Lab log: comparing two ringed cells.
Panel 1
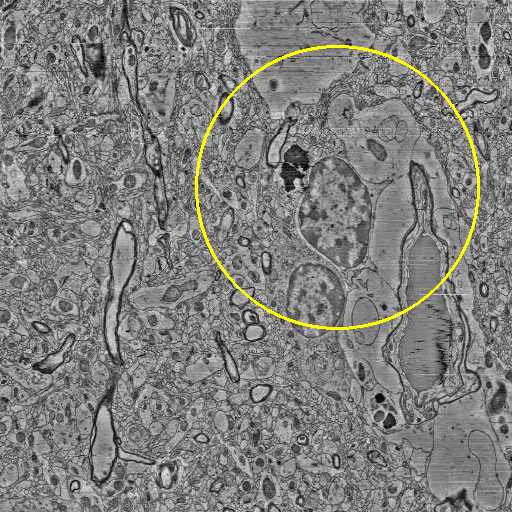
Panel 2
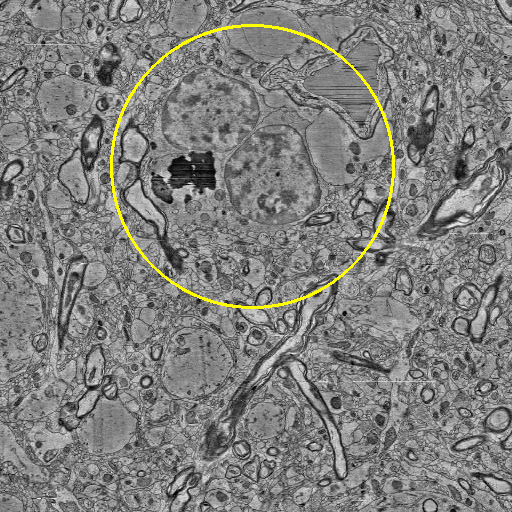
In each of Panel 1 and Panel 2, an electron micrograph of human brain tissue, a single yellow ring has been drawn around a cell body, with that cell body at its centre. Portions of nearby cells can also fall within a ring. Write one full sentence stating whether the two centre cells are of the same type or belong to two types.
The cells at the ring centres in Panel 1 and Panel 2 belong to two types.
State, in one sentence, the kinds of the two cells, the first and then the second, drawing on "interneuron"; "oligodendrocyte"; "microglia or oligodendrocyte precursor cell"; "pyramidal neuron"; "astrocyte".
The ring in the second picture is centred on an oligodendrocyte, the ring in the first on a microglial cell or oligodendrocyte precursor cell.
